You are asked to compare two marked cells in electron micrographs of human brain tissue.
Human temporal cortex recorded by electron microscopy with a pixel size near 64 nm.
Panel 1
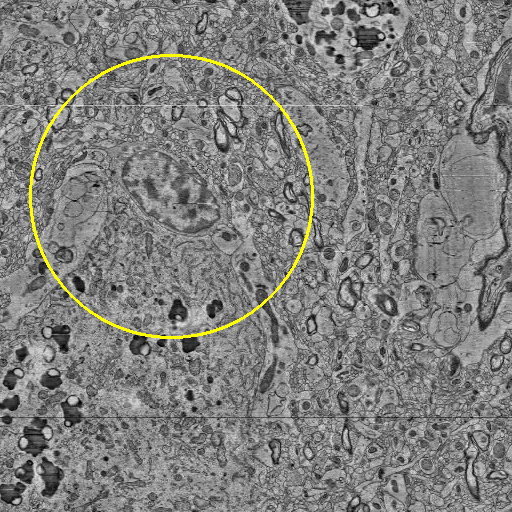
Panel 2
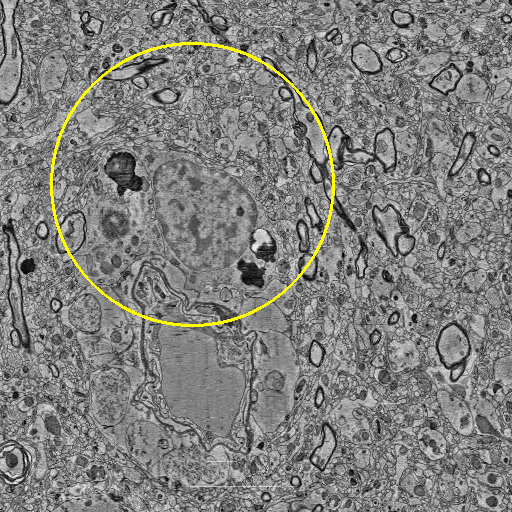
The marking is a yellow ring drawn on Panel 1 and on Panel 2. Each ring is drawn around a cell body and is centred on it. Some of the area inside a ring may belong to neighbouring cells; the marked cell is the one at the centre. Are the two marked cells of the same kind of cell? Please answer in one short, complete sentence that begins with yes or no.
Yes, the two marked cells are of the same kind.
